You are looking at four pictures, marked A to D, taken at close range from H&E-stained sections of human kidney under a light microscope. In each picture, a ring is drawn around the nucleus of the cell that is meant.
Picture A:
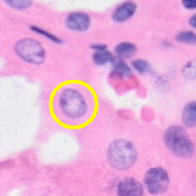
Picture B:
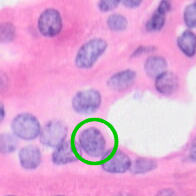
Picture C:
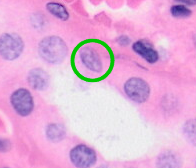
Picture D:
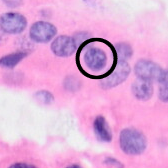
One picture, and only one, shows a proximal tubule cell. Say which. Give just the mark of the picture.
A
